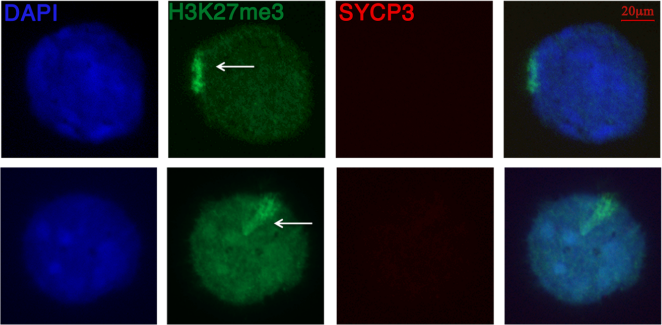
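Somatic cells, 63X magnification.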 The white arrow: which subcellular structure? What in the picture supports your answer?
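A small, dense, bright green patch lies at the edge of a round nucleus.
Barr body.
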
